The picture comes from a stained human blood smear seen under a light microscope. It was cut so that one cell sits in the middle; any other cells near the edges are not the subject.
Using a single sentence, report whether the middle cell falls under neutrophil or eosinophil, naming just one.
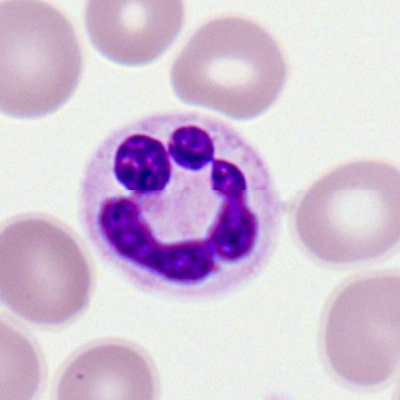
This crop is built around a neutrophil at its centre.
